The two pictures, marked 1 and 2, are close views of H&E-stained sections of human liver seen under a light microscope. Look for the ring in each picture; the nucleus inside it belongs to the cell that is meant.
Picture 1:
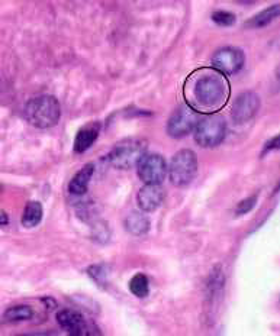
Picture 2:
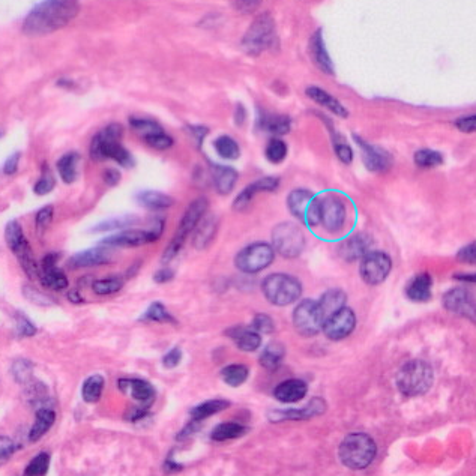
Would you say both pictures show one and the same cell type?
yes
